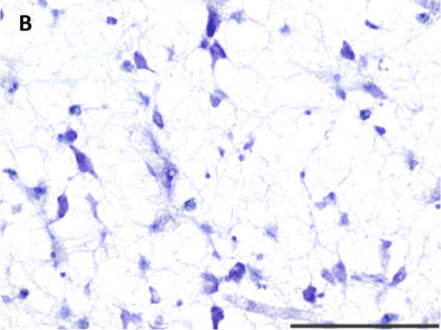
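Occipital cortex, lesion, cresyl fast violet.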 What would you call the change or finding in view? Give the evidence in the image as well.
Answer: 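Spongiform degeneration. The neuropil is broken up into many empty vacuoles. Only a thin lacy network remains between the spaces. Violet-stained cells are sparse and scattered.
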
